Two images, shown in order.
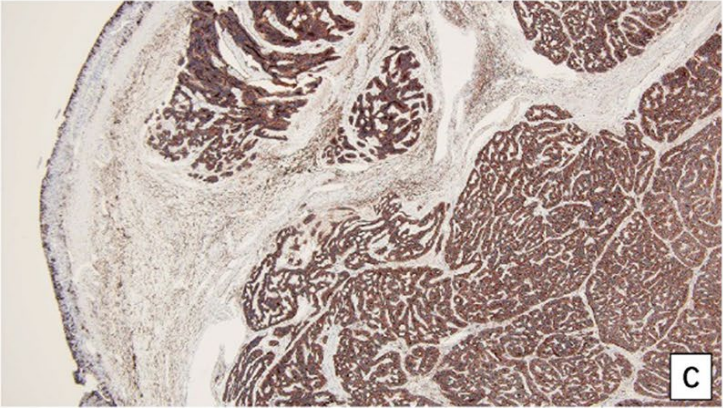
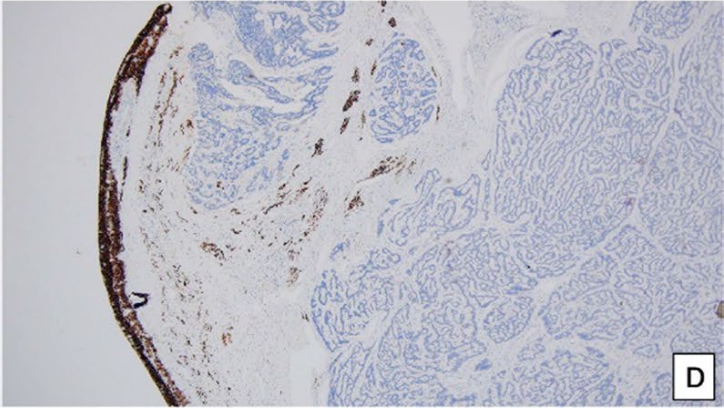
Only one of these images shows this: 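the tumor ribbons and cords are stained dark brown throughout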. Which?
the first image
